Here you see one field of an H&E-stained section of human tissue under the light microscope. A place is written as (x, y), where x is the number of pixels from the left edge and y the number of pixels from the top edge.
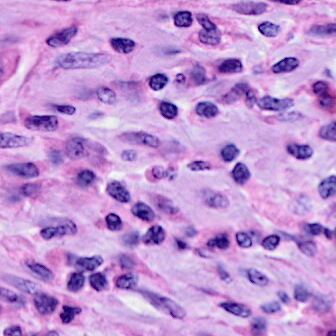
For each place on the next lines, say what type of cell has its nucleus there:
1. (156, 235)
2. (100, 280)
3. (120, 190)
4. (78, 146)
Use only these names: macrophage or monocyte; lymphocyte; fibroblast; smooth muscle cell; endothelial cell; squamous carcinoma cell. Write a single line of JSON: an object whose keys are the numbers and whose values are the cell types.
{"1": "lymphocyte", "2": "lymphocyte", "3": "lymphocyte", "4": "macrophage or monocyte"}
